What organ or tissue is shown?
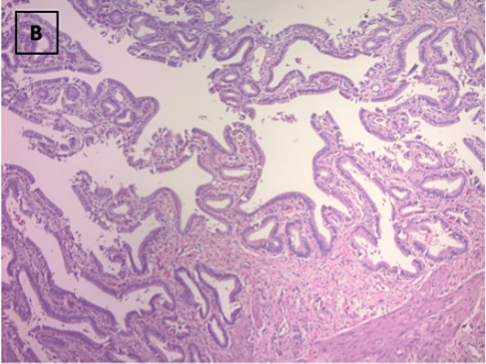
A: Gallbladder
